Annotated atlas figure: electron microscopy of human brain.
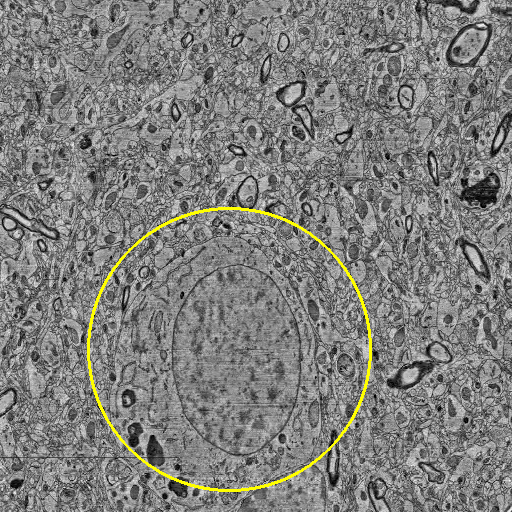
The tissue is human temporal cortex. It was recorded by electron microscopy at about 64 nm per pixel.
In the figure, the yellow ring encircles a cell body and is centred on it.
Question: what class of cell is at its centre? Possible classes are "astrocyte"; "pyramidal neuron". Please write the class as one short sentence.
The yellow ring is drawn around a pyramidal neuron.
